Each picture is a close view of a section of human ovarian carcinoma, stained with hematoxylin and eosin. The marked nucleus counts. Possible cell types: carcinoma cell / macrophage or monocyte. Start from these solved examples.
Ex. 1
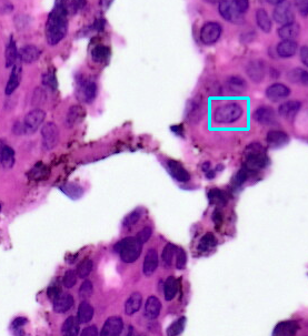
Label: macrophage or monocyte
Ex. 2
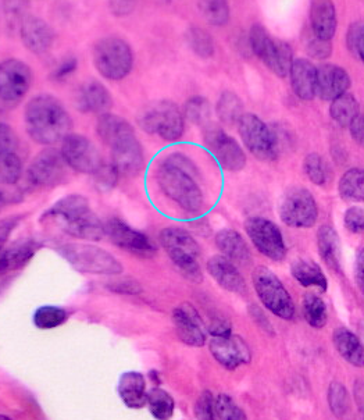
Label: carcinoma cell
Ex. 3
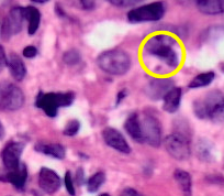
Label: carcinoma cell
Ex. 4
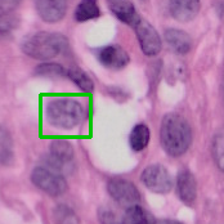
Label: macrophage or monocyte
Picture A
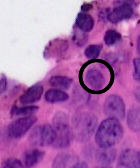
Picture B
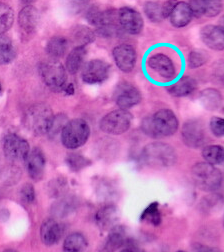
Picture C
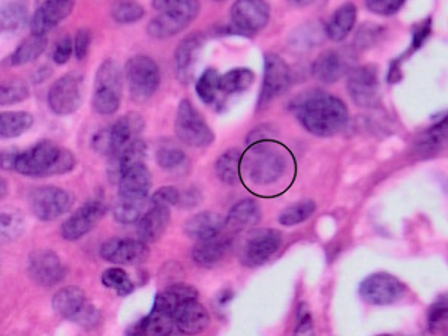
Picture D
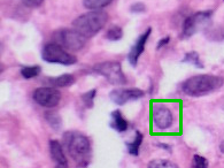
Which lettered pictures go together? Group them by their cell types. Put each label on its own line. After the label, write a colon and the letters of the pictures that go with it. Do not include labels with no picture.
carcinoma cell: A, C
macrophage or monocyte: B, D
